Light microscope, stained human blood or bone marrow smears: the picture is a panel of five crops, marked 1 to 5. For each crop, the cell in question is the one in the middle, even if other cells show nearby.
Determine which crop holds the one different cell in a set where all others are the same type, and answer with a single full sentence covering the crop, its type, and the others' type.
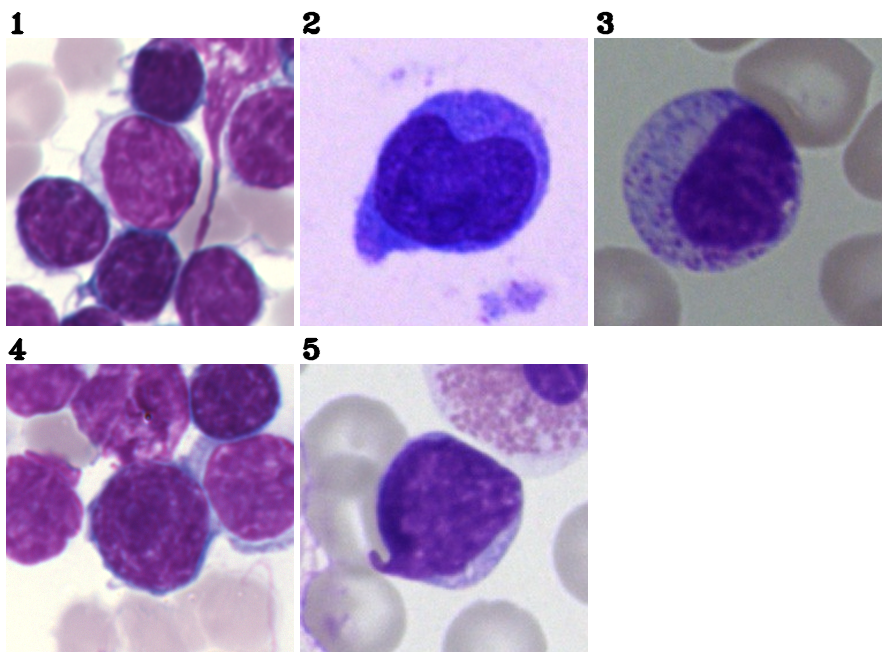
Found in all crops but one are blasts; the exception, crop 3, contains a myelocyte.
